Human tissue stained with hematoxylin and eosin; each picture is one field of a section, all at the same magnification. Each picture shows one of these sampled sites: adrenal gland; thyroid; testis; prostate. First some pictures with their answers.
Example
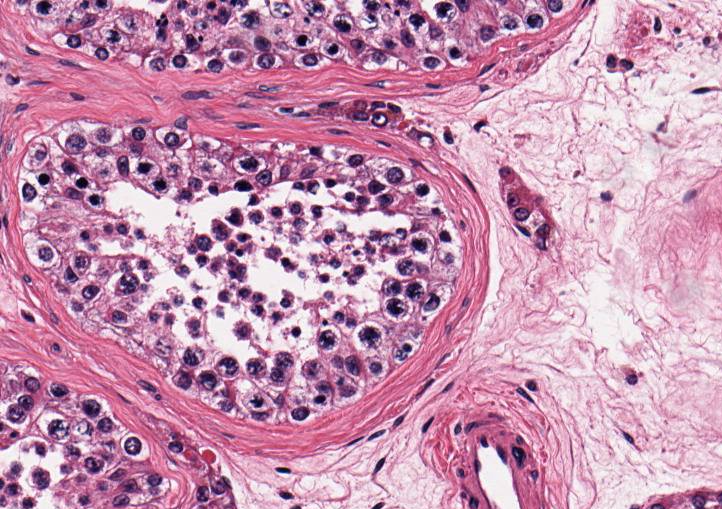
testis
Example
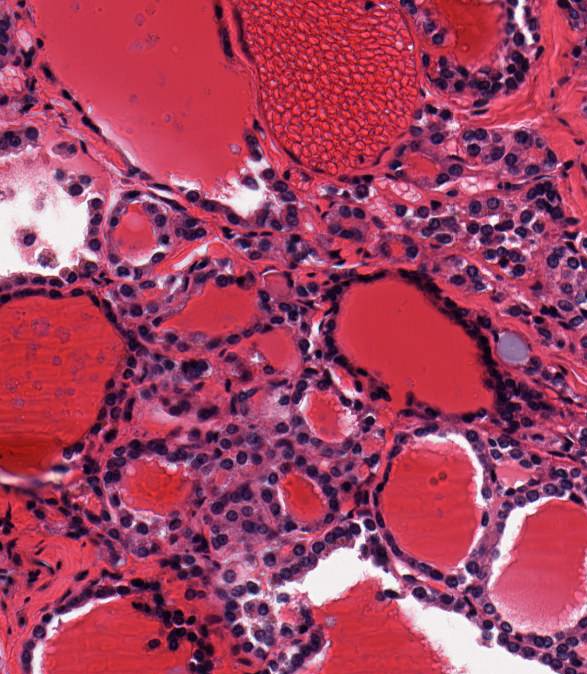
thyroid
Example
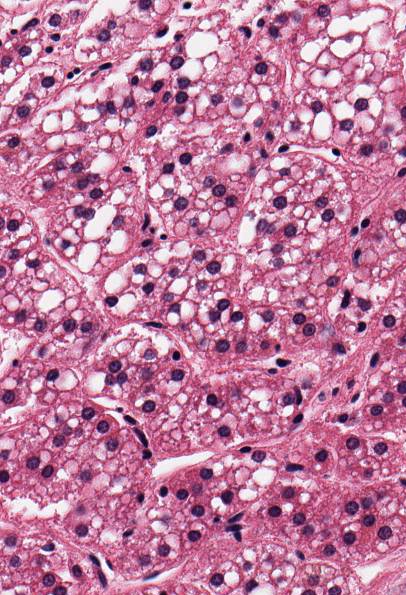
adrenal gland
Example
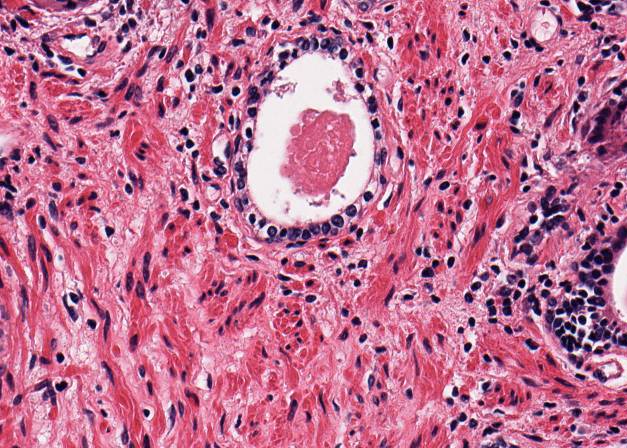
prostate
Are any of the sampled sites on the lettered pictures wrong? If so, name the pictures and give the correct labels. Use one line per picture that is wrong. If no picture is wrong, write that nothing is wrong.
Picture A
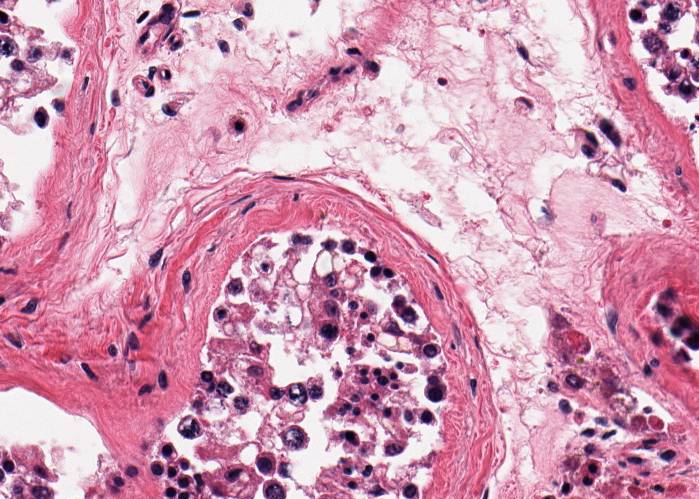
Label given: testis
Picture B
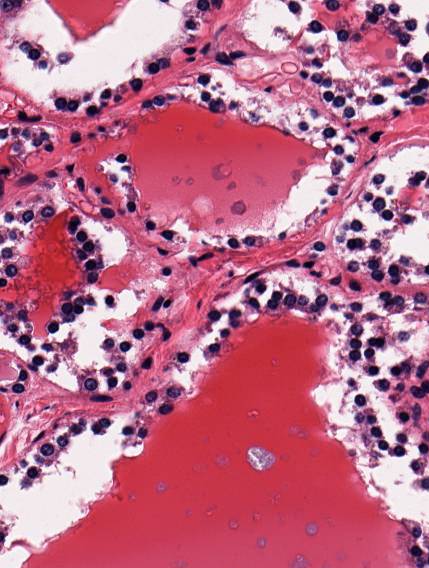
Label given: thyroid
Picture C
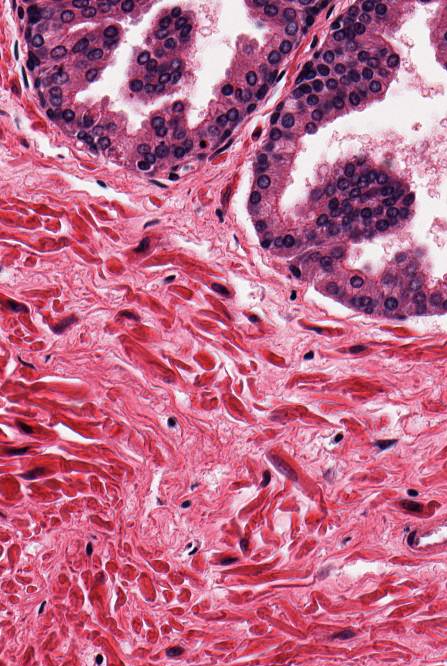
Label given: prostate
Every label is right.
